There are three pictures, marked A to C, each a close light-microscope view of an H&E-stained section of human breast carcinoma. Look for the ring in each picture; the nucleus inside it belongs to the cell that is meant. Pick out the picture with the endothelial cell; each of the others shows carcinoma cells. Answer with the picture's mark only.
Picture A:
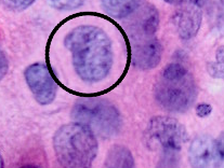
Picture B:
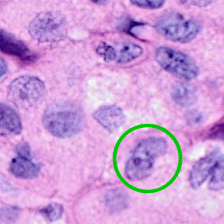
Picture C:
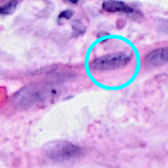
C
